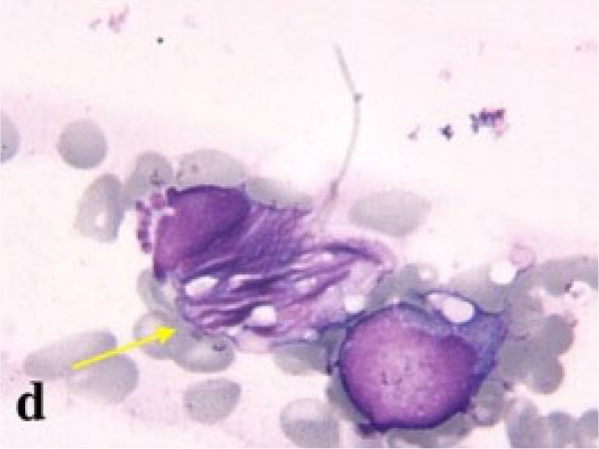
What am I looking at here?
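Bone marrow smear with a plasma cell whose cytoplasm is packed with bundles of elongated, needle-like purple crystals lying side by side, with clear vacuole-like spaces among them. The round purple nucleus sits at one end of the cell. A second large cell with a round purple nucleus and blue cytoplasm lies alongside, among pale red cells.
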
